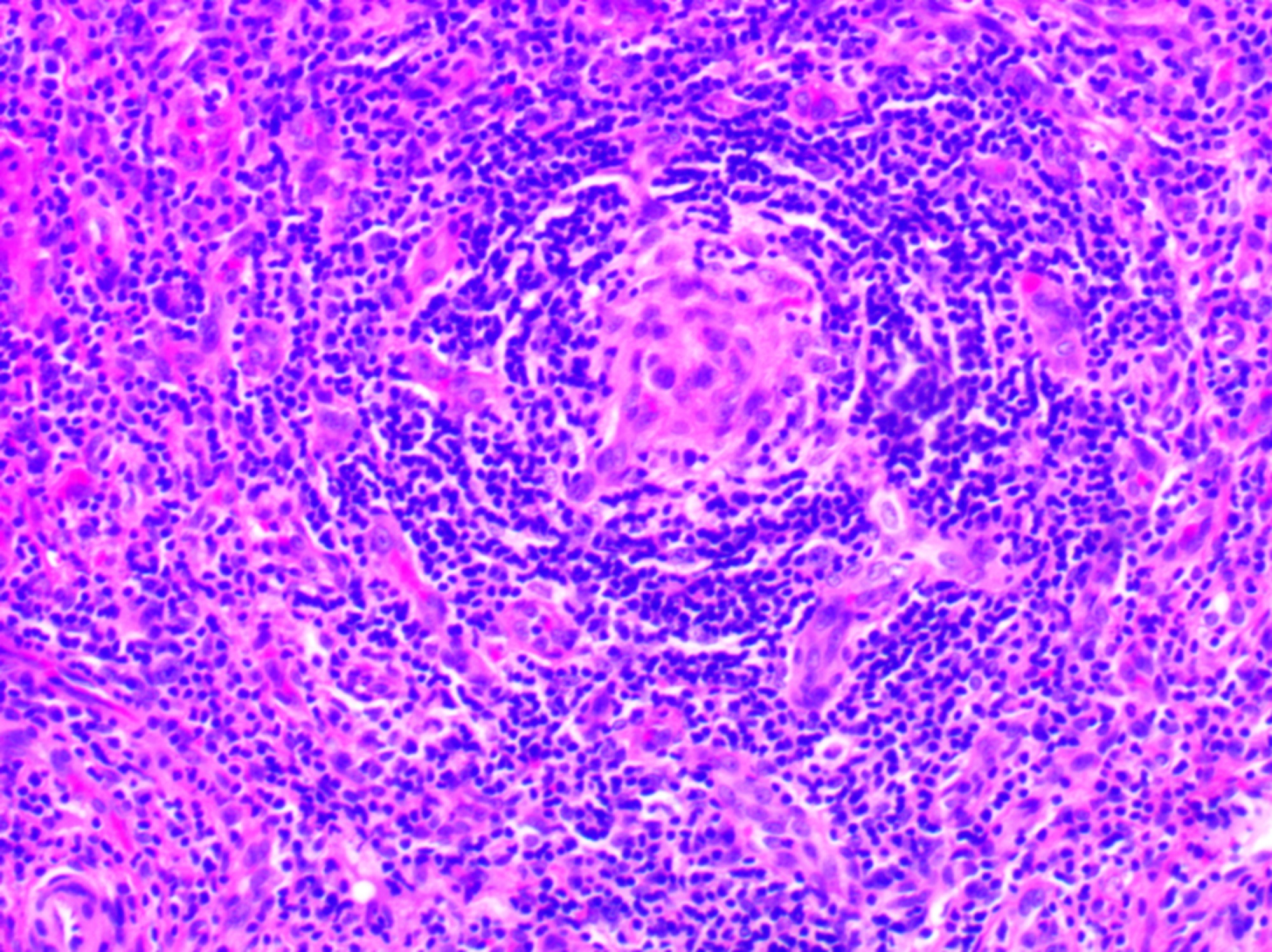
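A lymphoid follicle of a lymph node fills the centre, with a small, pale pink centre of larger cells with oval vesicular nuclei and pink cytoplasm, and little lymphoid content, as in a regressed, atrophic follicle. Around it, small lymphocytes with dense dark round nuclei of the mantle zone are laid in concentric rings, giving a layered onion-skin look. Outside the follicle, the interfollicular tissue is crowded with many small vessels lined by plump endothelial cells with pink walls, scattered among lymphocytes and a few larger cells, showing marked vascular proliferation between follicles.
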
